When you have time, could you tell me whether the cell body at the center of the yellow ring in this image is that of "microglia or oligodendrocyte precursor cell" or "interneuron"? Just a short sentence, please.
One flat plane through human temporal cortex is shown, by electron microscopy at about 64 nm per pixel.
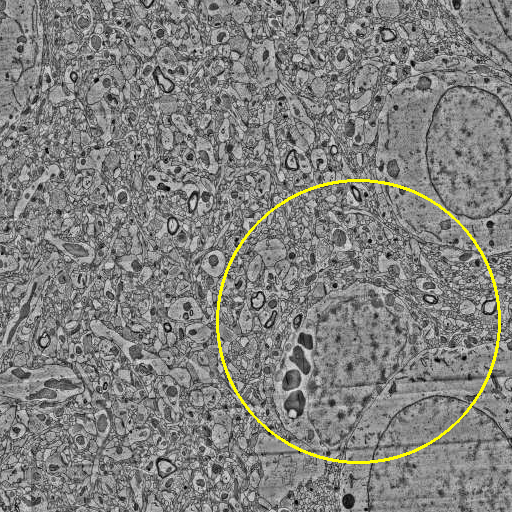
The cell body at the center of the ring is that of an interneuron.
